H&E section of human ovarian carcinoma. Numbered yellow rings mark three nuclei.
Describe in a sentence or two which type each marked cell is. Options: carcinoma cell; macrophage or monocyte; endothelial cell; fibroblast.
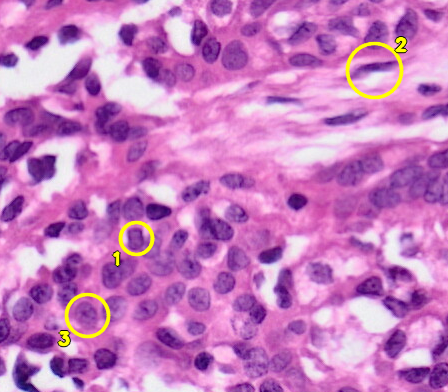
Cell 1 is a carcinoma cell, cell 2 is a fibroblast and cell 3 is a carcinoma cell.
